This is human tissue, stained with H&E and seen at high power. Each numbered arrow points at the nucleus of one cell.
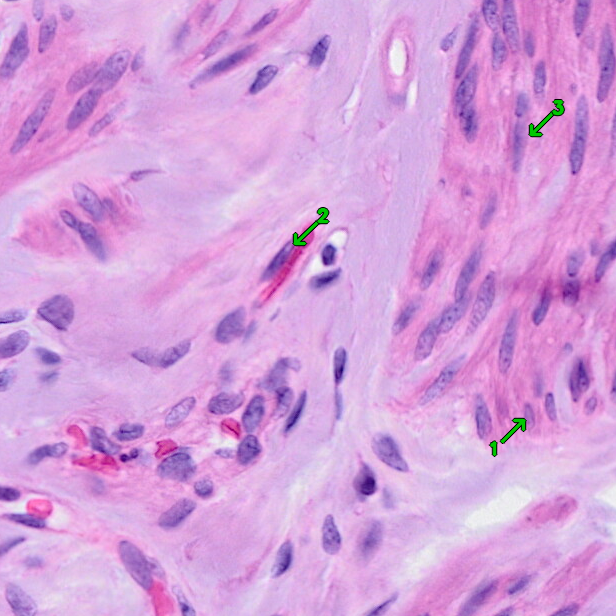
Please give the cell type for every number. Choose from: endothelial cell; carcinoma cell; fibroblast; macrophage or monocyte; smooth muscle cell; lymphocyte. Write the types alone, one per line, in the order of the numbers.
smooth muscle cell
endothelial cell
smooth muscle cell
